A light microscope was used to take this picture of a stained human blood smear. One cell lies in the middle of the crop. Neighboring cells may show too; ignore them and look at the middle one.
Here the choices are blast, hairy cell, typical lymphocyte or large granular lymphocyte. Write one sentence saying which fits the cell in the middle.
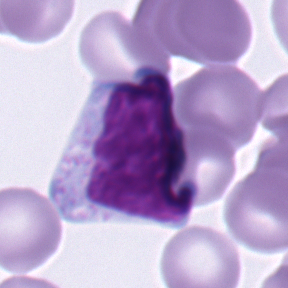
The identification for the central cell is a large granular lymphocyte.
